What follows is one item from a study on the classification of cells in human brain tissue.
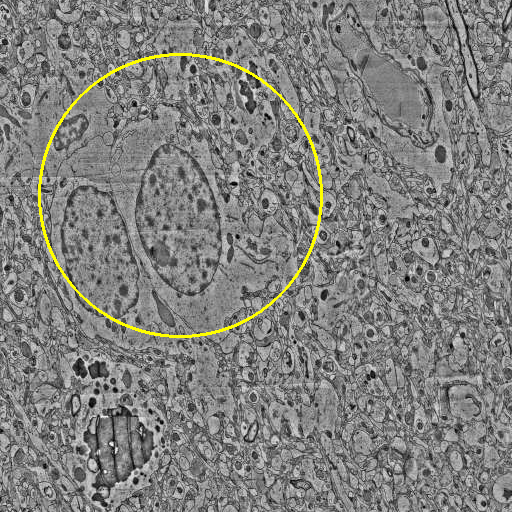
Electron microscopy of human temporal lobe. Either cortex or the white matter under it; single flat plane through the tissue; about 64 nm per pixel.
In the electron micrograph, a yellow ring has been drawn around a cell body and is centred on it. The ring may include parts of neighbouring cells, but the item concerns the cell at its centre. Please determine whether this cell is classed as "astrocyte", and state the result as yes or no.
yes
